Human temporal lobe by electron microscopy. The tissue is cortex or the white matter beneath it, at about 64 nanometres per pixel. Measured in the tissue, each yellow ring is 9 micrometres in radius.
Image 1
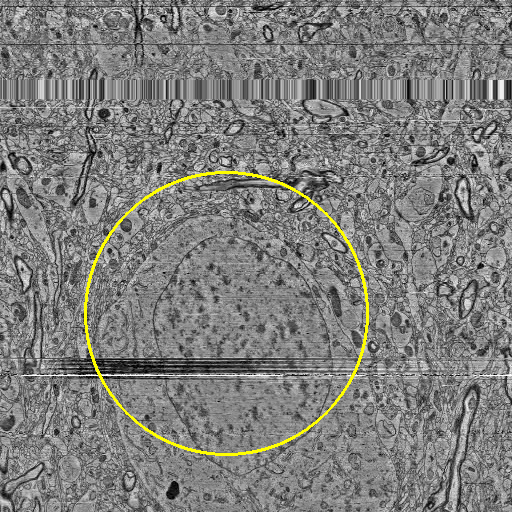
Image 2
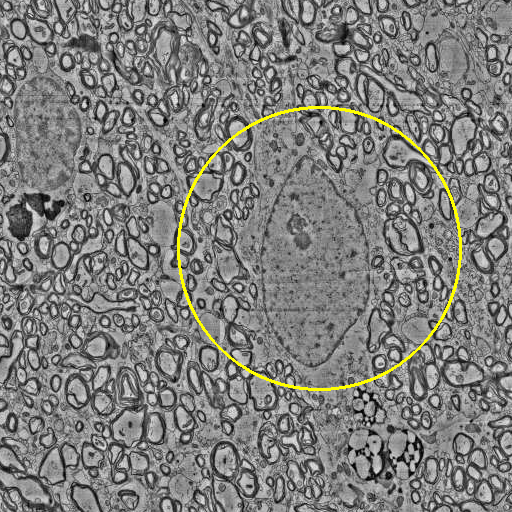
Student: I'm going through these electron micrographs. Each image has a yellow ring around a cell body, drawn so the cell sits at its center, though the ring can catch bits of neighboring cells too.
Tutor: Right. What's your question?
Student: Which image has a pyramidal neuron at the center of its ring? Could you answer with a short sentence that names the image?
Image 1 shows it at the center of its ring.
